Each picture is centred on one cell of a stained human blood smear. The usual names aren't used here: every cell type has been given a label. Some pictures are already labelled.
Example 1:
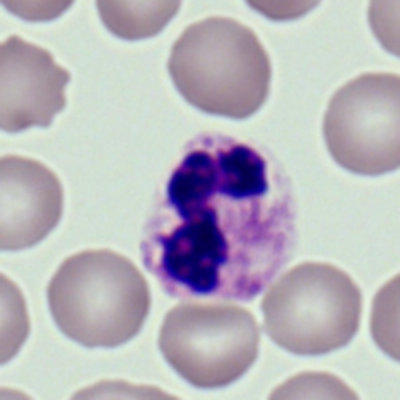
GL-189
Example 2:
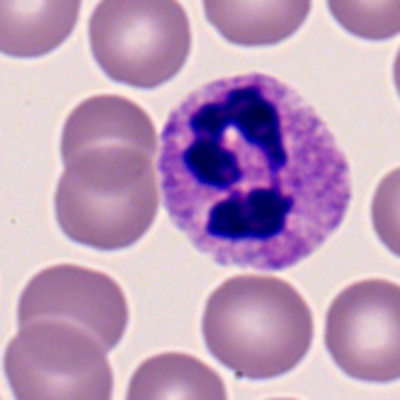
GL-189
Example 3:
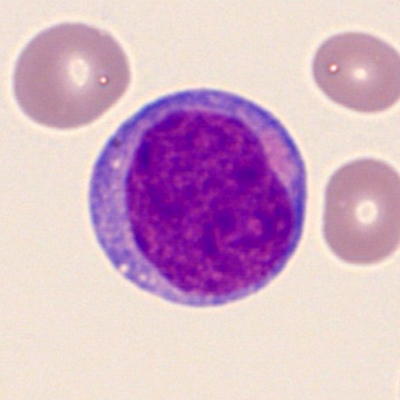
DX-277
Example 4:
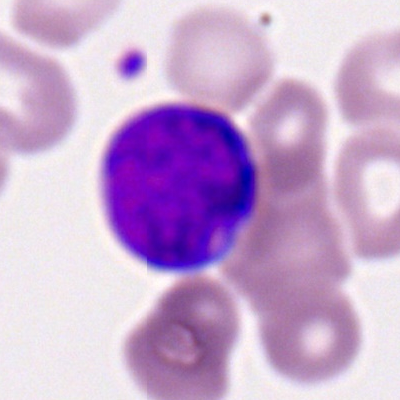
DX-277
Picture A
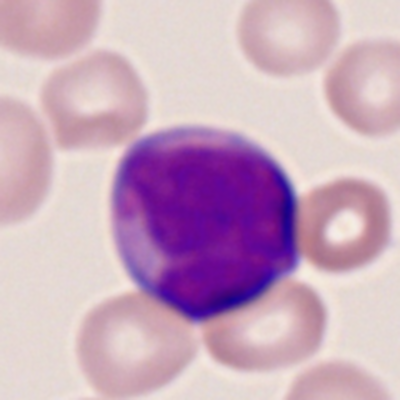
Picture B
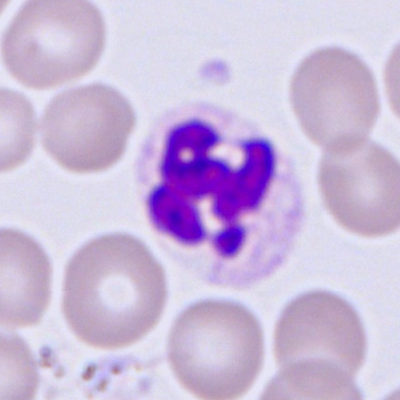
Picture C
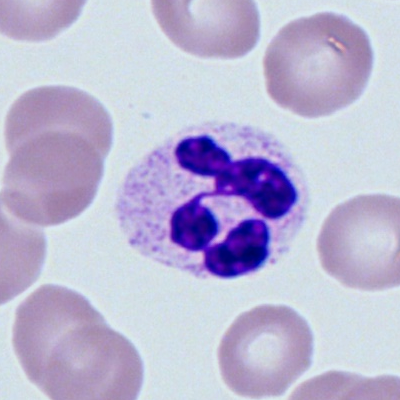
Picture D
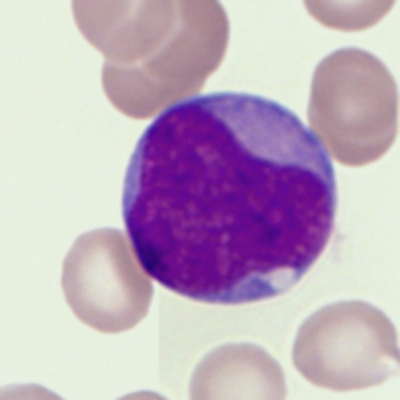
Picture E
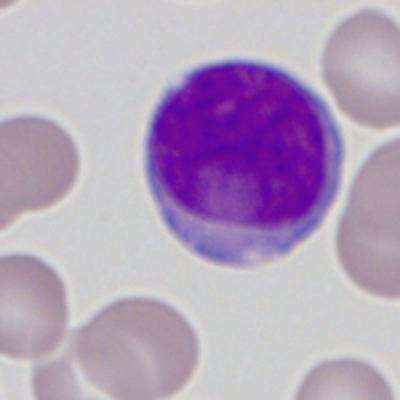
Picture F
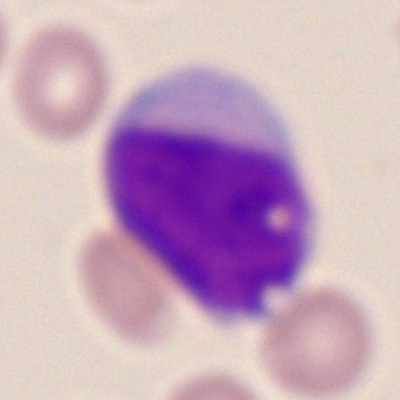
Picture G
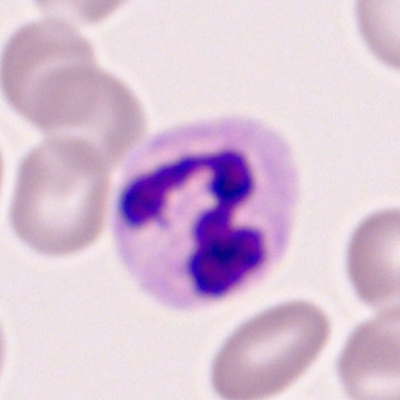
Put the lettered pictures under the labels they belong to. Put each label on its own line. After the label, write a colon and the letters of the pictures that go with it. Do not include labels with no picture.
GL-189: B, C, G
DX-277: A, D, E, F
